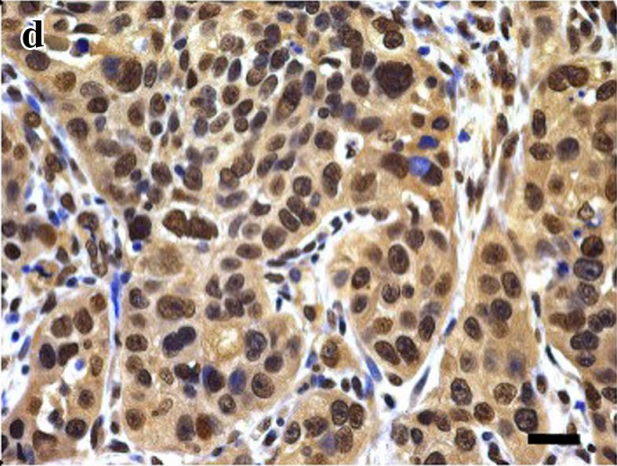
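Nests of carcinoma cells with large, round to oval, pleomorphic nuclei fill the field, separated by thin strands of stroma with small spindle-shaped nuclei. Most tumour nuclei are stained dark brown, some with visible nucleoli, while the abundant cytoplasm is pale tan and a few nuclei remain blue.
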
